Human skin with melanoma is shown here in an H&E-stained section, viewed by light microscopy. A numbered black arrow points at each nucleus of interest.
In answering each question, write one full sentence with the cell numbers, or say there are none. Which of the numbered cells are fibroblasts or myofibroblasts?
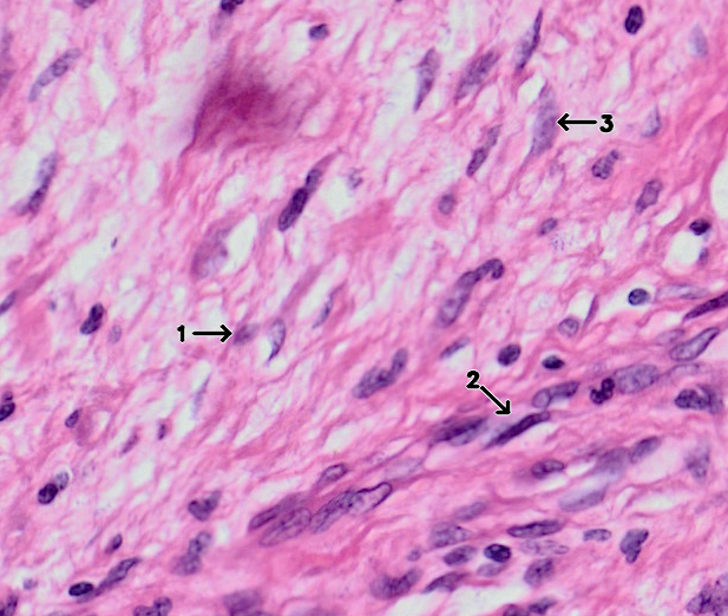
The cells bearing the numbers 1 and 3 are fibroblasts or myofibroblasts.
